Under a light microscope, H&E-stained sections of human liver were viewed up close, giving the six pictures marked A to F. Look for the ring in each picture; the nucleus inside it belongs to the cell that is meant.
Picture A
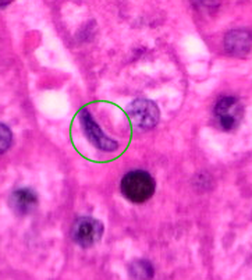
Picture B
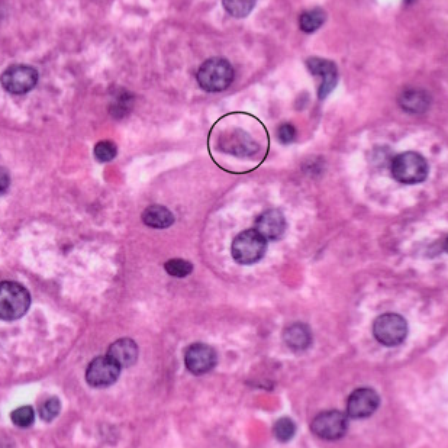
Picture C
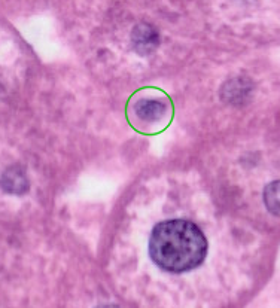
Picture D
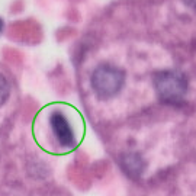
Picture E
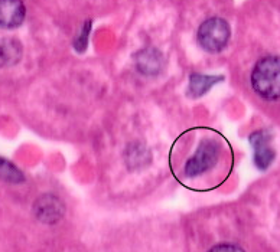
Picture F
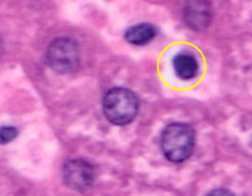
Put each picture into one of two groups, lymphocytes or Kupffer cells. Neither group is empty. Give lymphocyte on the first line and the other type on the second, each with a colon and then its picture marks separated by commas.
lymphocyte: D, F
Kupffer cell: A, B, C, E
